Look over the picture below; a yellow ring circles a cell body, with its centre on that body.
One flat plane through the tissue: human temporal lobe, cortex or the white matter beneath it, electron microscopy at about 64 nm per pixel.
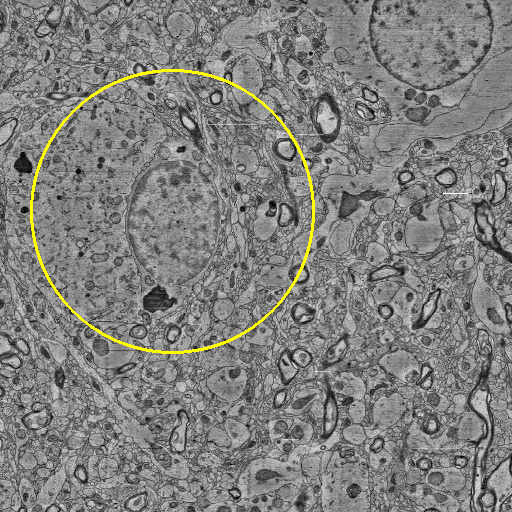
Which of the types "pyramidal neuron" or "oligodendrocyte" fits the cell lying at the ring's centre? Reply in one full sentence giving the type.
The picture shows an oligodendrocyte at the centre of the yellow ring.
